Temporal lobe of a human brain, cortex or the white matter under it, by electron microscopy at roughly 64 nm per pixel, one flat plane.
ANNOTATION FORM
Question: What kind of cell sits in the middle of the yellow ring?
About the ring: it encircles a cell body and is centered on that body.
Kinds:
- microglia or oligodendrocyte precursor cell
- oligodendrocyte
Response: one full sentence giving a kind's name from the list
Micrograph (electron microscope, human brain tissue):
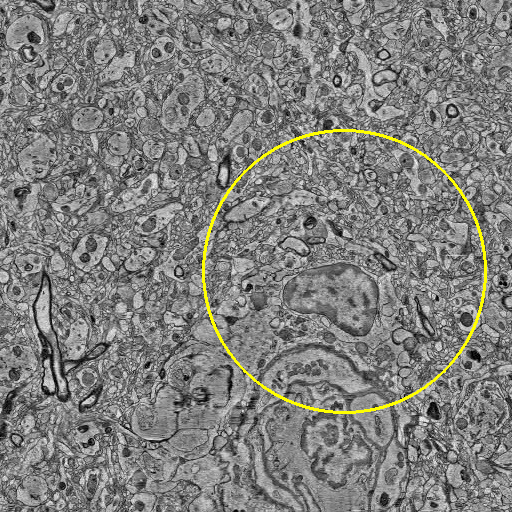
The kind of cell found at the center of the yellow ring in the micrograph is a microglial cell or oligodendrocyte precursor cell.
